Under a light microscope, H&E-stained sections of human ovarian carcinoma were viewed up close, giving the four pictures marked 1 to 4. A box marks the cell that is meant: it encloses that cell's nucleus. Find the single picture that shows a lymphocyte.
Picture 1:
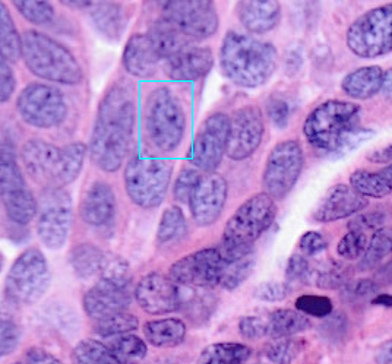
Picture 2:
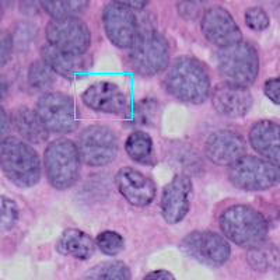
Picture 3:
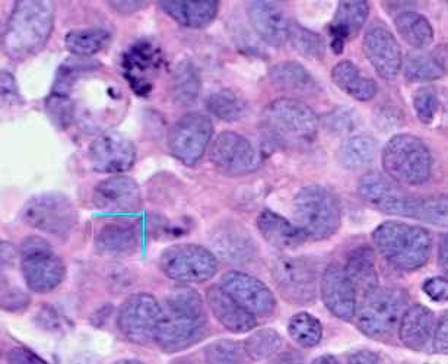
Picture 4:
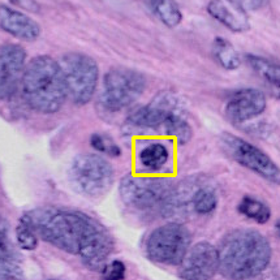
4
